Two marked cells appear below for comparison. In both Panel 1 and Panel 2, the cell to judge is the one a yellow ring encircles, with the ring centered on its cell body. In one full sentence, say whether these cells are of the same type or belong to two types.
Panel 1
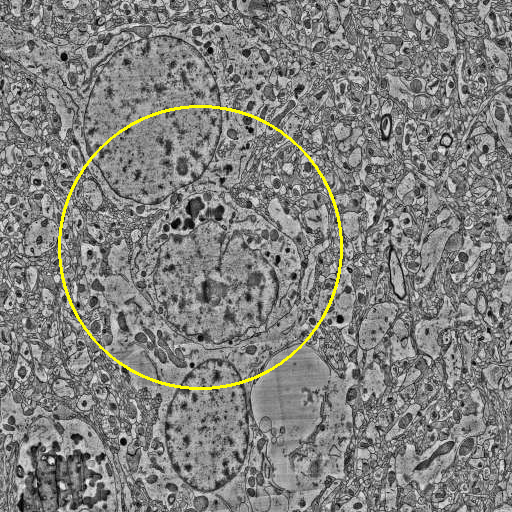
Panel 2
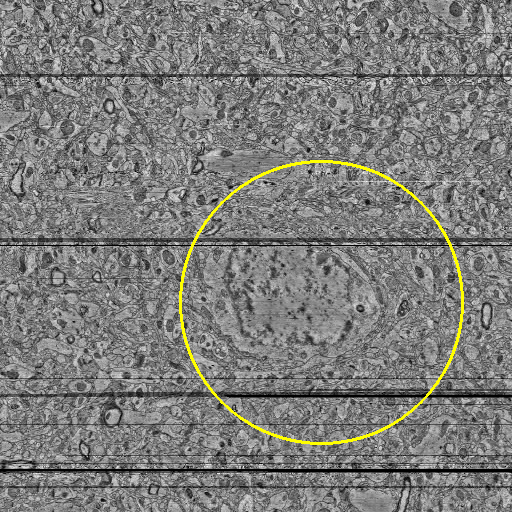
The cell centered in the Panel 1 ring and the one in Panel 2 are of the same type.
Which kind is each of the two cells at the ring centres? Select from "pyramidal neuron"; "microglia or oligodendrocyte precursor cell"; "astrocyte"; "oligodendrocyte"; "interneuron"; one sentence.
Each of the two cells is an interneuron.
